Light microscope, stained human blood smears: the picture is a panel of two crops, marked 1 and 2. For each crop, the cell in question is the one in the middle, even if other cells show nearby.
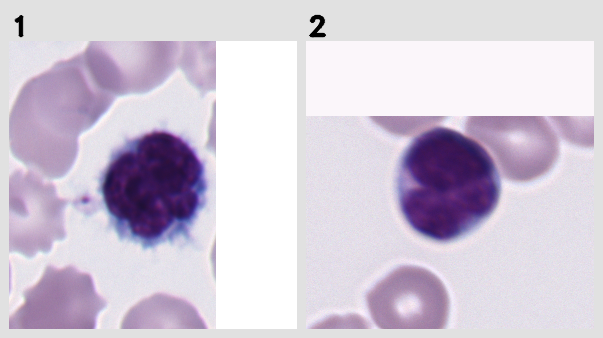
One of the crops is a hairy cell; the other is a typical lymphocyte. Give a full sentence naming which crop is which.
Crops 1 and 2 are, respectively, a hairy cell and a typical lymphocyte.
